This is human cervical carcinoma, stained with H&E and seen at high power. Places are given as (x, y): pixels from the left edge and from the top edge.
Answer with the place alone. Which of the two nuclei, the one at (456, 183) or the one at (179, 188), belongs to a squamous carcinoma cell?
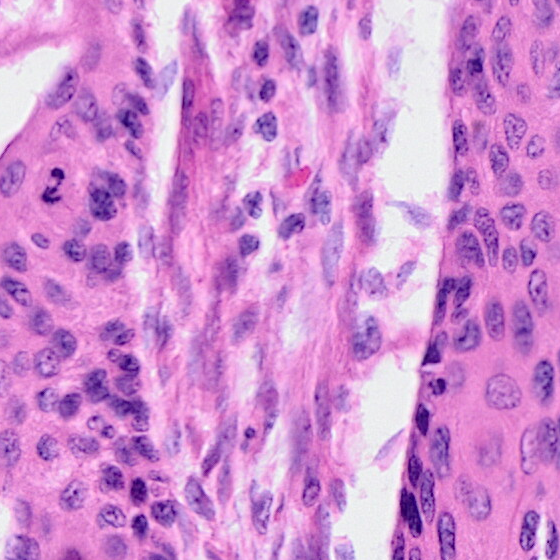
(456, 183)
